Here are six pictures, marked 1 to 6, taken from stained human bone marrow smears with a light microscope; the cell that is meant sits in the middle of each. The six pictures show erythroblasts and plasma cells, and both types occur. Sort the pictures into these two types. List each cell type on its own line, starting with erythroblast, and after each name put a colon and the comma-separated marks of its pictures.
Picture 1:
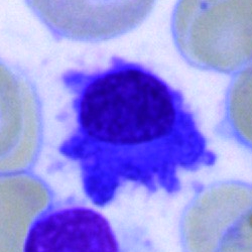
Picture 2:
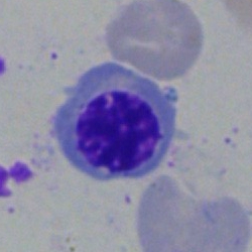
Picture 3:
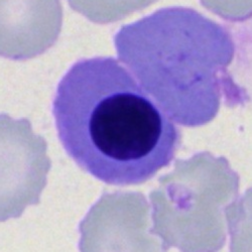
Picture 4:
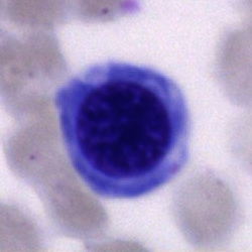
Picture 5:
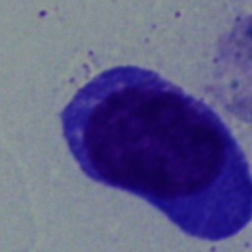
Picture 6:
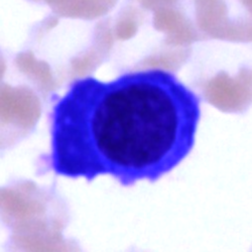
erythroblast: 2, 3, 4
plasma cell: 1, 5, 6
